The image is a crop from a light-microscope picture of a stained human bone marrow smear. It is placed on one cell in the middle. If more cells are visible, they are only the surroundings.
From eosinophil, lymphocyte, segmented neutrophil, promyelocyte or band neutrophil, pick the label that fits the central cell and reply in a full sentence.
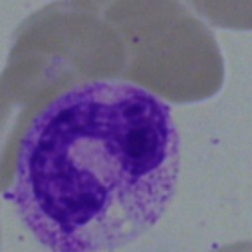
Here the centrally located cell is a band neutrophil.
